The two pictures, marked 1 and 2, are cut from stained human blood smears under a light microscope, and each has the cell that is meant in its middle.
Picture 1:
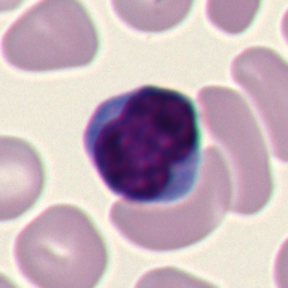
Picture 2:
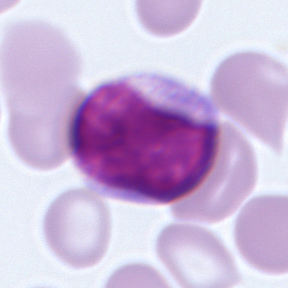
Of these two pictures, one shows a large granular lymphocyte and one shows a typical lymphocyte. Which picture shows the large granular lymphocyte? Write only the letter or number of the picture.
2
